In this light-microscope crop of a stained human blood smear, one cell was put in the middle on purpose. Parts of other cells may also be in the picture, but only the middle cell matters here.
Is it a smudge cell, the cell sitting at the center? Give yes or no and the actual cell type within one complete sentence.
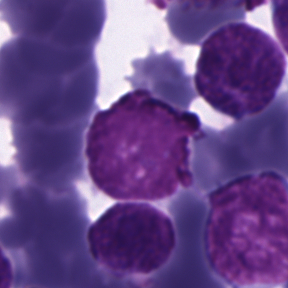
No, the central cell should be identified as a myeloblast, not as a smudge cell.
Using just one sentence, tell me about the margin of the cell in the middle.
The cell is bounded by a ragged or projection-bearing margin rather than a smooth one.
